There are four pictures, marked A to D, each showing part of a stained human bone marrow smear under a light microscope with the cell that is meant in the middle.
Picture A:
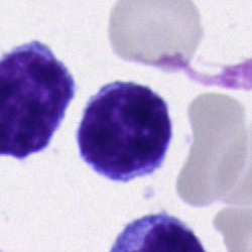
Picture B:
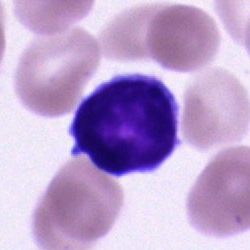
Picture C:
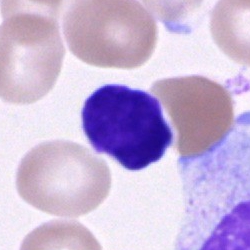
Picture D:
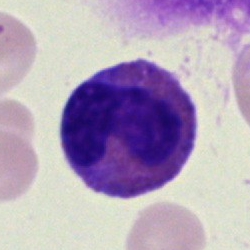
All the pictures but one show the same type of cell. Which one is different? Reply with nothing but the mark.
D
